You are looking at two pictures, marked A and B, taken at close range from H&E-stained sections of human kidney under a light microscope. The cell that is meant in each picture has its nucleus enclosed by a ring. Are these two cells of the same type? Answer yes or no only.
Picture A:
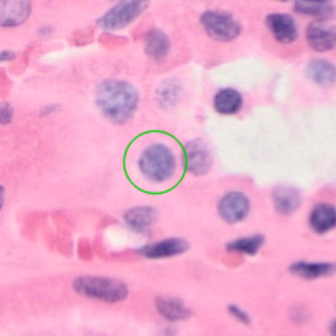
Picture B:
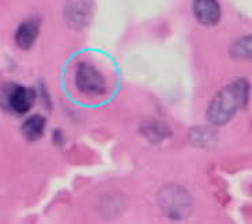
yes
